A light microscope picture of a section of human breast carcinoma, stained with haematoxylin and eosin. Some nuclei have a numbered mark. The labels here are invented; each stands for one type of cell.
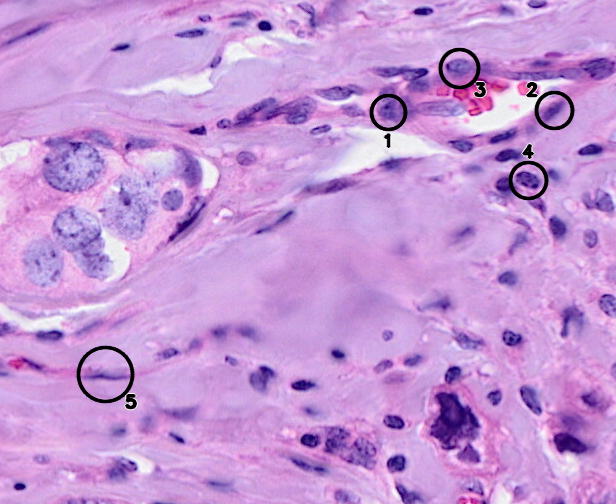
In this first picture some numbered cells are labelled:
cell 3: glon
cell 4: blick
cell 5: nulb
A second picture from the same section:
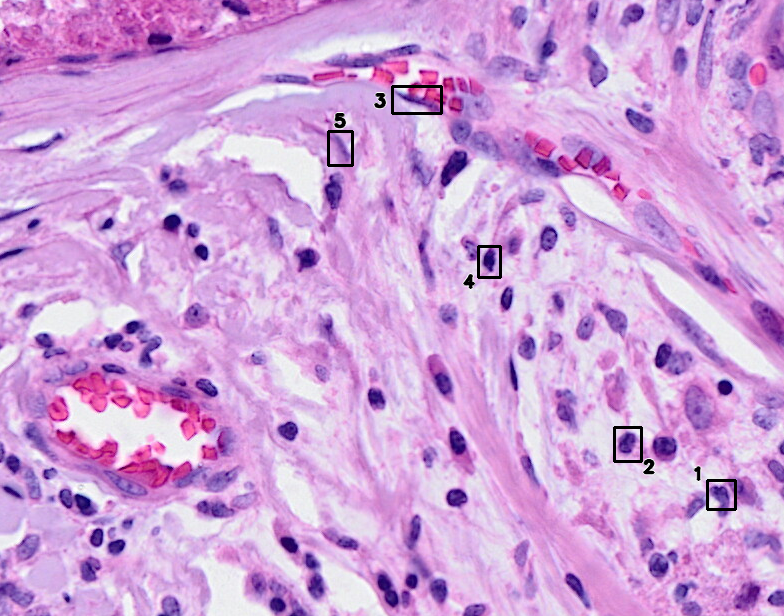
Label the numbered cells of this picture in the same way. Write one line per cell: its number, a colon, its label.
1: blick
2: blick
3: glon
4: blick
5: nulb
